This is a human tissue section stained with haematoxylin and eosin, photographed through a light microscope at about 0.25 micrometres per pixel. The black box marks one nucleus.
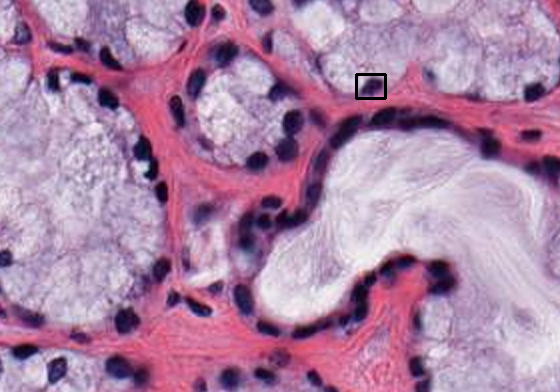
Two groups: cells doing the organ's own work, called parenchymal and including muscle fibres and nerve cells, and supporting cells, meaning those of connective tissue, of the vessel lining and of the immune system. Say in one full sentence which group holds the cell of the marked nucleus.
What the marked nucleus belongs to is a parenchymal cell, namely a mucous gland cell.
